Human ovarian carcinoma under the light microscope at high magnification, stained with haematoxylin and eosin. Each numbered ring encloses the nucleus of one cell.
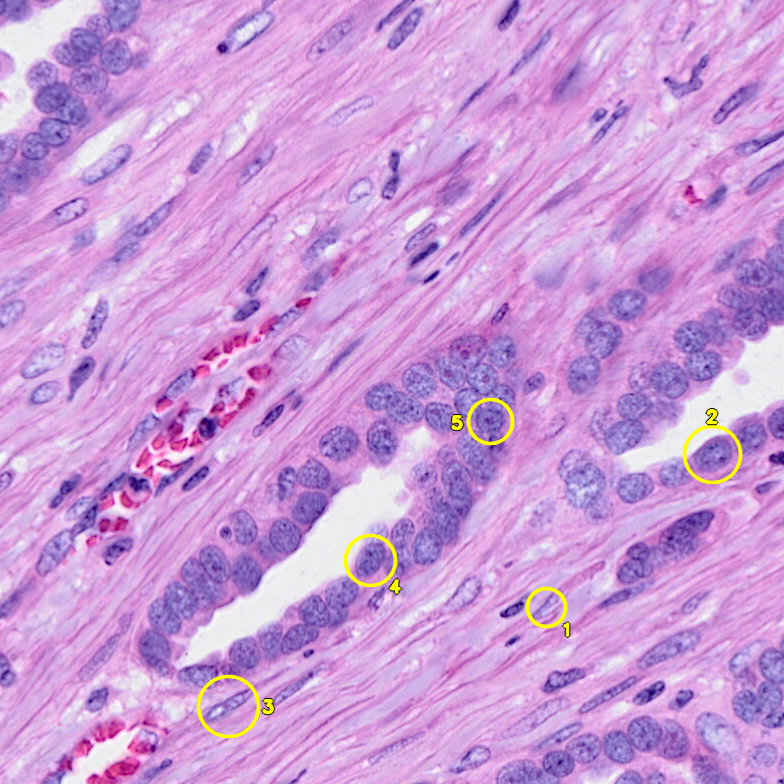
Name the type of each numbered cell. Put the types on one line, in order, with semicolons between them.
fibroblast; carcinoma cell; fibroblast; carcinoma cell; carcinoma cell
